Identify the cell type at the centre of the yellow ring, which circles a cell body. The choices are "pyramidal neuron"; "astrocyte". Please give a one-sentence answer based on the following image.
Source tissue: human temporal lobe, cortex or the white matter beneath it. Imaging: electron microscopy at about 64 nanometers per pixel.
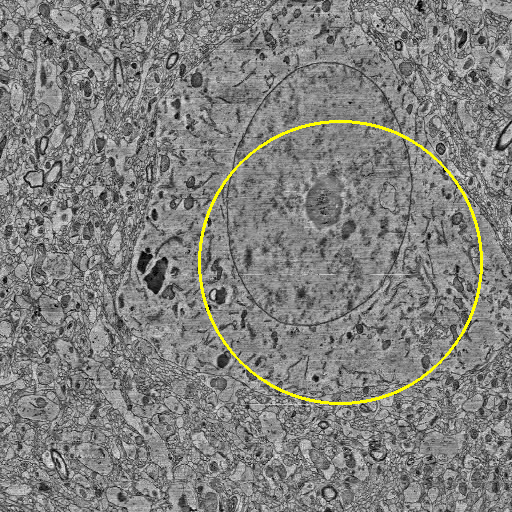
The cell marked by the ring is a pyramidal neuron.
